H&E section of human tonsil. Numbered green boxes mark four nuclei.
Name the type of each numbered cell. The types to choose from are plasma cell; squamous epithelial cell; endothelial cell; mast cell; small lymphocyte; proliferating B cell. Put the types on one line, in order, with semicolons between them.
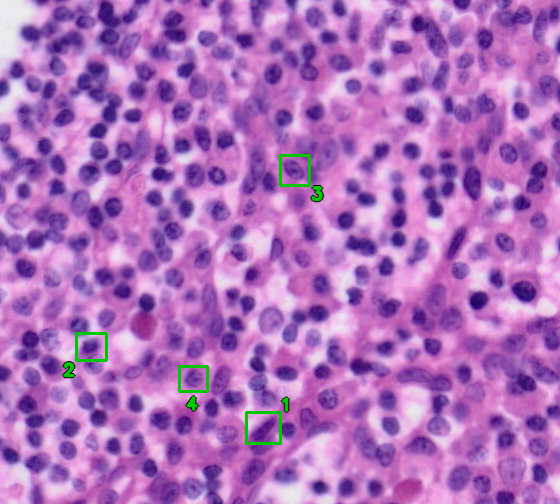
squamous epithelial cell; plasma cell; plasma cell; plasma cell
